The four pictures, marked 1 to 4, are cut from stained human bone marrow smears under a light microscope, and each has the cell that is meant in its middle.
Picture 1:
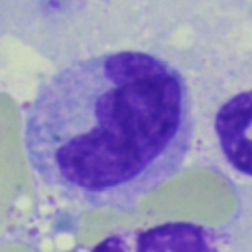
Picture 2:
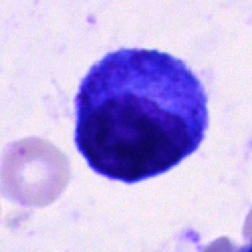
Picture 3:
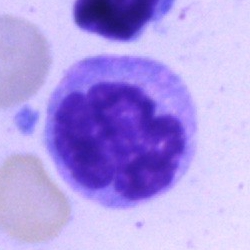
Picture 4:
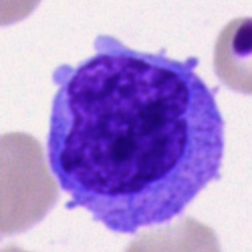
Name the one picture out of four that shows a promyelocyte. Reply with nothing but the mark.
2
